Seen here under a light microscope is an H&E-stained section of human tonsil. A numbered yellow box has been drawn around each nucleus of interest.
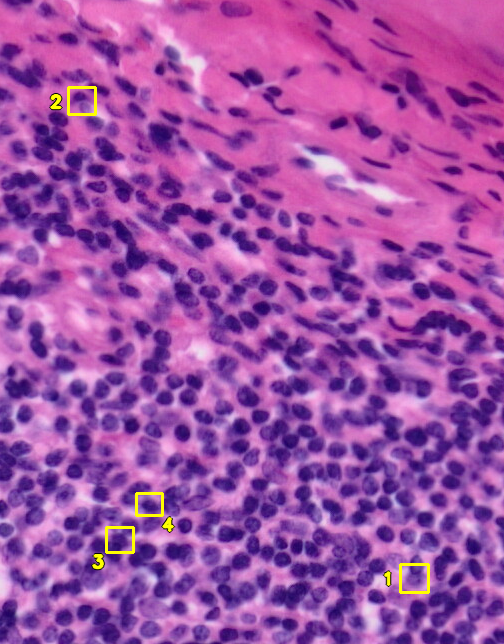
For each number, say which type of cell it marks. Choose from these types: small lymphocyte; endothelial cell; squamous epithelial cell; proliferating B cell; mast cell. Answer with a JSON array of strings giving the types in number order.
["small lymphocyte", "endothelial cell", "small lymphocyte", "small lymphocyte"]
